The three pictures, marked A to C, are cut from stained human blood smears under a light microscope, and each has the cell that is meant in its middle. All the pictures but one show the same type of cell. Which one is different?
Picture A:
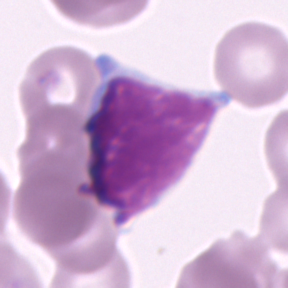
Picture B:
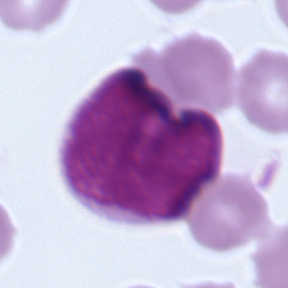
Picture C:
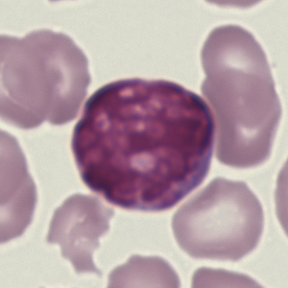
A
